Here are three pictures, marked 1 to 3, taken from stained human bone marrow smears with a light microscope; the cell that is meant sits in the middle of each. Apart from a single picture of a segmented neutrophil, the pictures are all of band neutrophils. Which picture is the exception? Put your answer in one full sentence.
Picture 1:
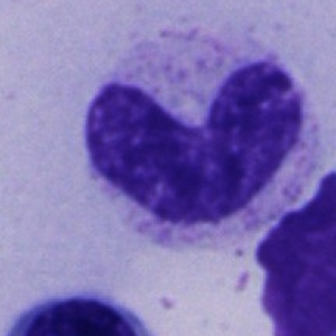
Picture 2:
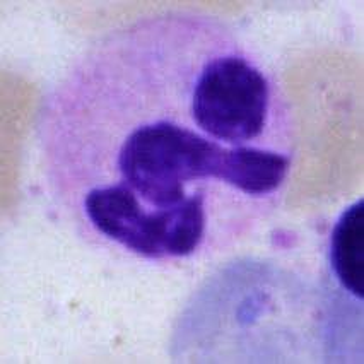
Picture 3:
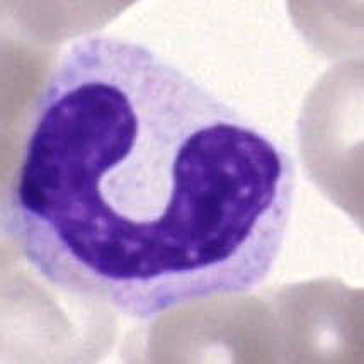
The cell in picture 2 is the segmented neutrophil.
